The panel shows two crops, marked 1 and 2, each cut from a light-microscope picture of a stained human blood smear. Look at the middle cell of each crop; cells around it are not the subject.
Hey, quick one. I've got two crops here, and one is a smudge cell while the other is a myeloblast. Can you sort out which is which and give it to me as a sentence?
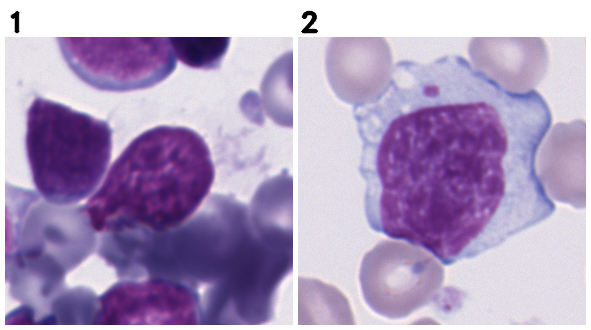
Crop 1 is occupied by a smudge cell, and crop 2 is occupied by a myeloblast.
